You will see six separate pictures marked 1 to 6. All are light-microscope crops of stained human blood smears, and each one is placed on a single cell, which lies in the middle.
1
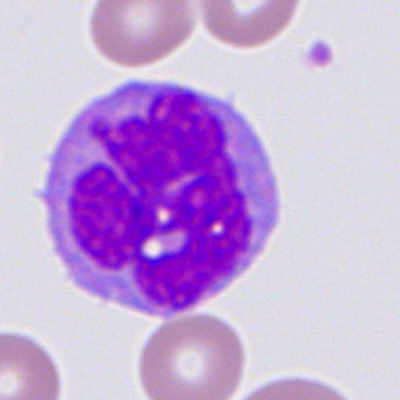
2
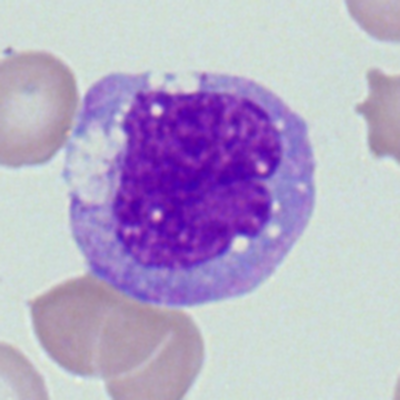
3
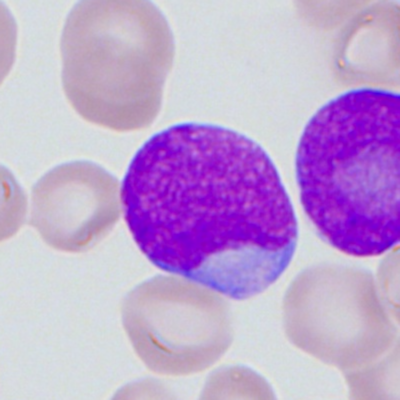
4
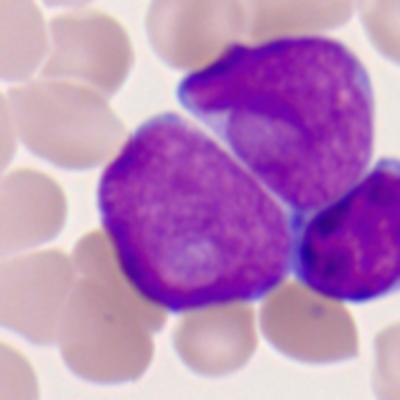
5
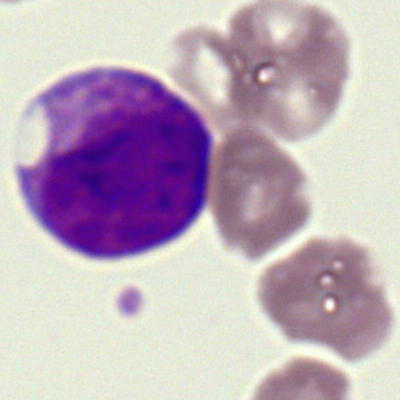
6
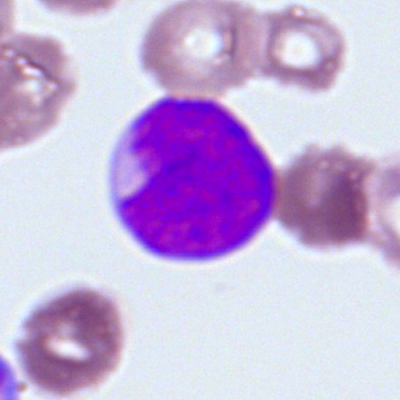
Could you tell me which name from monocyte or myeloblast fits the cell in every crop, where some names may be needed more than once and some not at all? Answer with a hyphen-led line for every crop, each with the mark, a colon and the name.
- 1: monocyte
- 2: monocyte
- 3: myeloblast
- 4: myeloblast
- 5: myeloblast
- 6: myeloblast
